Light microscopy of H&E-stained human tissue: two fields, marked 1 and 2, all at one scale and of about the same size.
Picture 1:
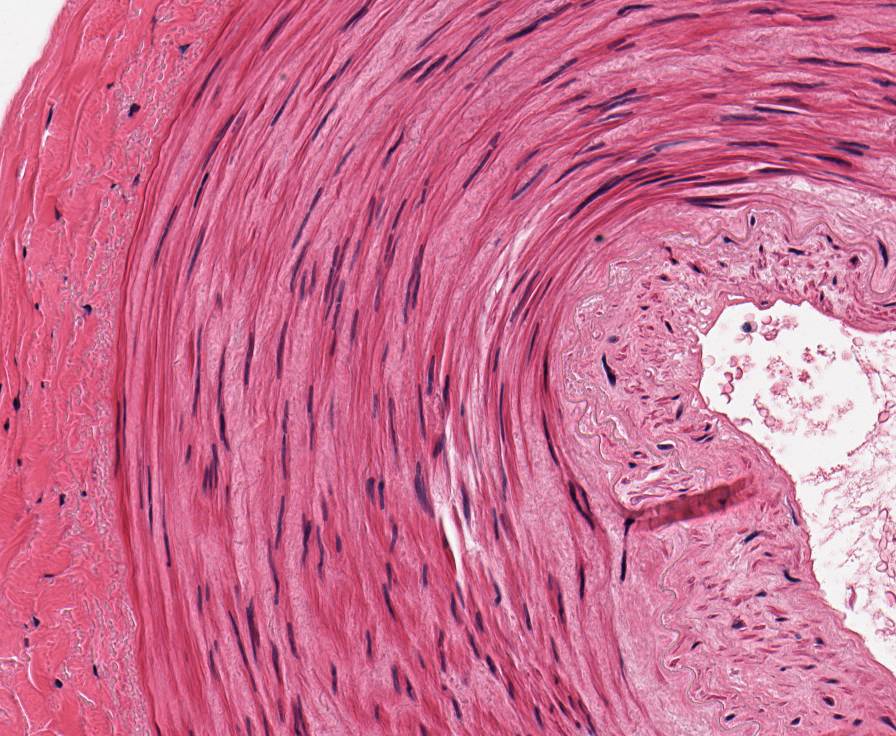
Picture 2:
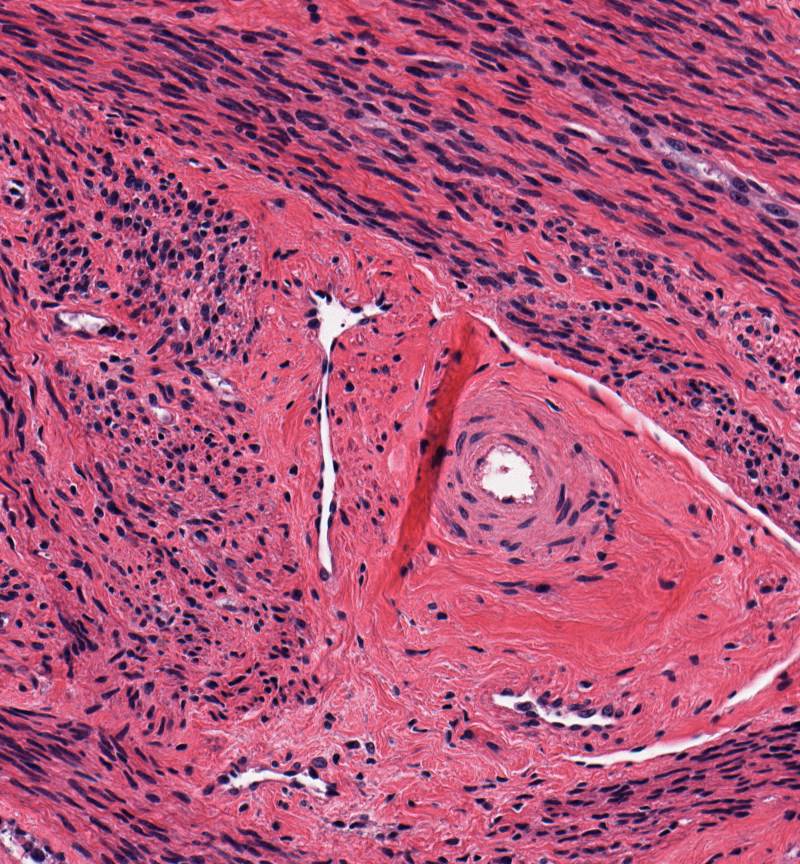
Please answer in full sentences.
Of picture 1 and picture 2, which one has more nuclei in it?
It is picture 2 that has more nuclei in it.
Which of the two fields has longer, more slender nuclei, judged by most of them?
On the whole the nuclei of picture 1 are more drawn out than those of picture 2.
